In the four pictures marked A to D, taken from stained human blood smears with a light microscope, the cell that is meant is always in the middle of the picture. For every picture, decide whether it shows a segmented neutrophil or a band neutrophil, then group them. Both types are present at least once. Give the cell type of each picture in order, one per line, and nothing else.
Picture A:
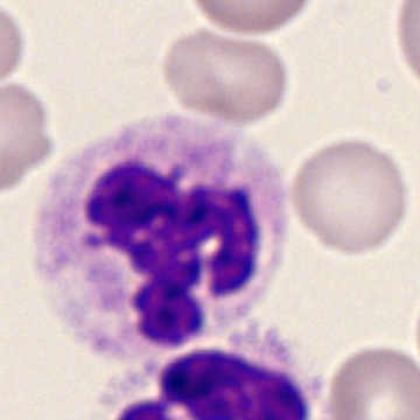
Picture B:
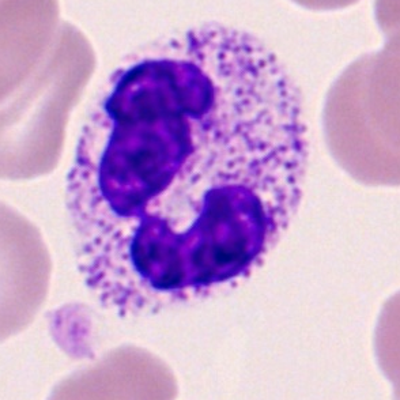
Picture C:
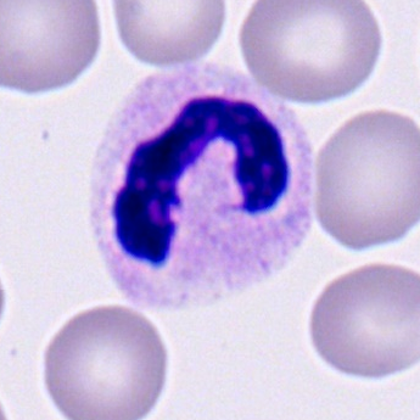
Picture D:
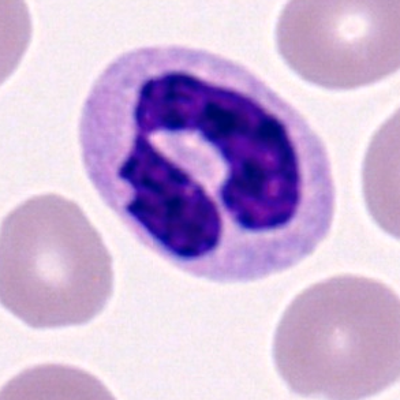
segmented neutrophil
segmented neutrophil
band neutrophil
segmented neutrophil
